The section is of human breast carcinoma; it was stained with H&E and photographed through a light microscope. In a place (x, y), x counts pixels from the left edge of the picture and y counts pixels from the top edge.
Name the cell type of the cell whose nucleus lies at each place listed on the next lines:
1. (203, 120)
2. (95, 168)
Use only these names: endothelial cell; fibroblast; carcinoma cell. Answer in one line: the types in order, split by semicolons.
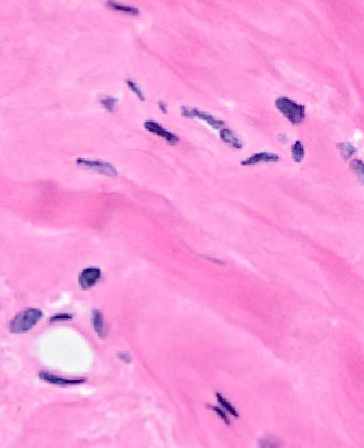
endothelial cell; fibroblast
